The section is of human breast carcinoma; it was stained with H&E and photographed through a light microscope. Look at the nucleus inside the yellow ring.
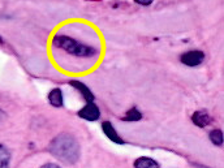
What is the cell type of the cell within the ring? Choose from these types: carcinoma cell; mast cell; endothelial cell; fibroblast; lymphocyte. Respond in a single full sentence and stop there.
In this section of tissue, the cell within the ring is a mast cell.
